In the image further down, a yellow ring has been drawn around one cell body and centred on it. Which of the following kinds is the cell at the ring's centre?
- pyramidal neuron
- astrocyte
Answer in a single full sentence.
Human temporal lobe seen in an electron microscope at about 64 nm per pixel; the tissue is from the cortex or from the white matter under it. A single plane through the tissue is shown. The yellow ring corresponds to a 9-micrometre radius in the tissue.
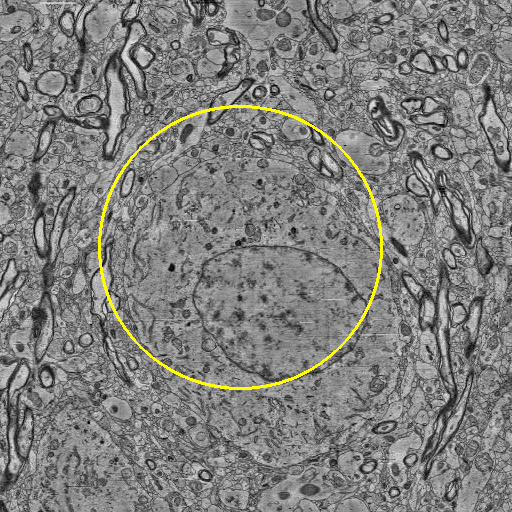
In the picture, the cell sitting at the centre of the yellow ring is a pyramidal neuron.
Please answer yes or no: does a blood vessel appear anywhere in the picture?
No, no vessel shows anywhere in the image.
